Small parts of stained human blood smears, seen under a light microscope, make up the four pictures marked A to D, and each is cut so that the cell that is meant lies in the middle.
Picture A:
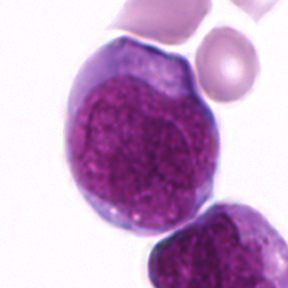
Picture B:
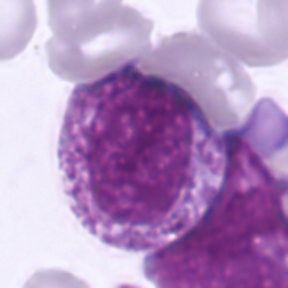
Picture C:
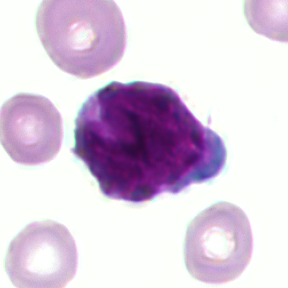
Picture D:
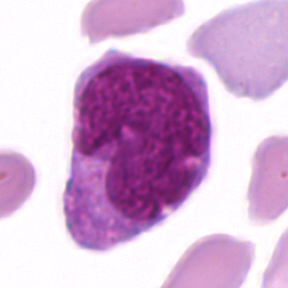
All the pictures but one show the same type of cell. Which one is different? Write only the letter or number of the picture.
B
